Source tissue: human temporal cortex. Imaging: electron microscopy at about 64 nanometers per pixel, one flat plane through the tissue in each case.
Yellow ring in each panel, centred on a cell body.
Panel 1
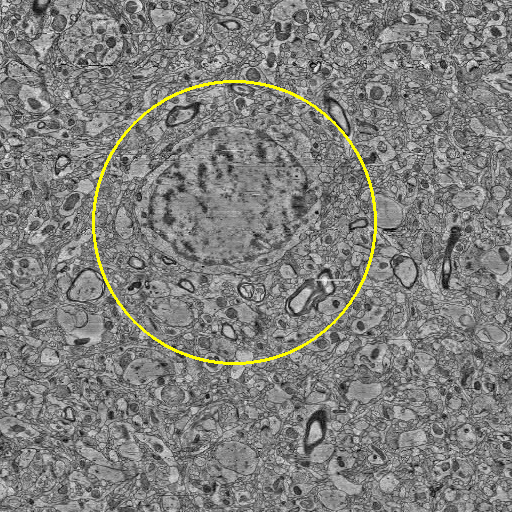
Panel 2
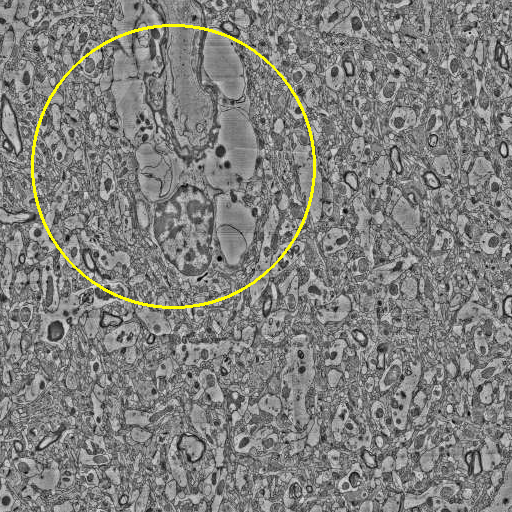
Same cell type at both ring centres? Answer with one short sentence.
No, the two cells are of two types.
